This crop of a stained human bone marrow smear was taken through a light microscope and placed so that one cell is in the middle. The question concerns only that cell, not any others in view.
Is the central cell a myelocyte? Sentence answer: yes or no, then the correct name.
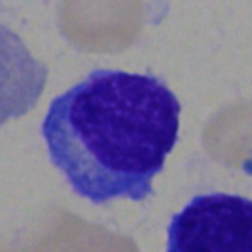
No, the middle cell is not a myelocyte, it being a plasma cell.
